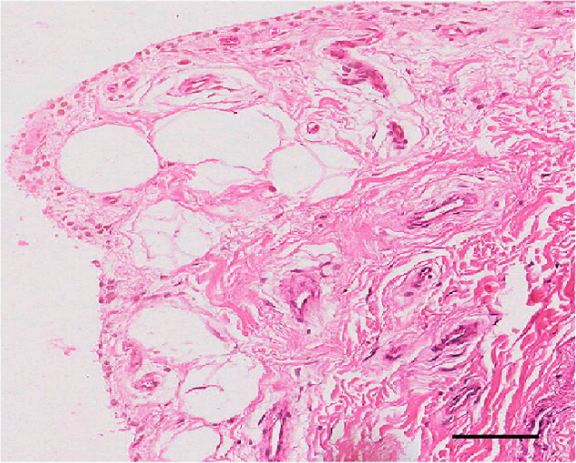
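Synovial tissue with a thin surface lining of few cells over a loose, pale pink fibrous stroma. Scattered clear round empty spaces lie beneath the lining, together with small vessels with thin walls.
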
